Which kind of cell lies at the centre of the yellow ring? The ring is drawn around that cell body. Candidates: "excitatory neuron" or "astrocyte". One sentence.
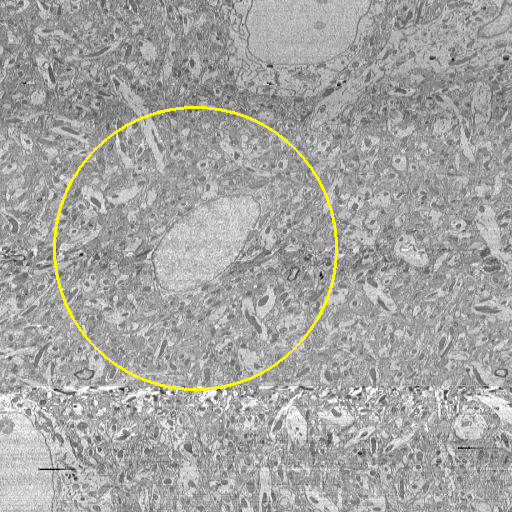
Lying at the centre of the ring is an astrocyte.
